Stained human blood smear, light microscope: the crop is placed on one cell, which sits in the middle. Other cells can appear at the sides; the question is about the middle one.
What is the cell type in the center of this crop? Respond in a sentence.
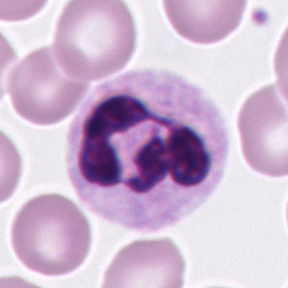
In this crop, the cell at the very middle is a segmented neutrophil.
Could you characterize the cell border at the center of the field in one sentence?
No surface projections are present; the cell outline is smooth.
